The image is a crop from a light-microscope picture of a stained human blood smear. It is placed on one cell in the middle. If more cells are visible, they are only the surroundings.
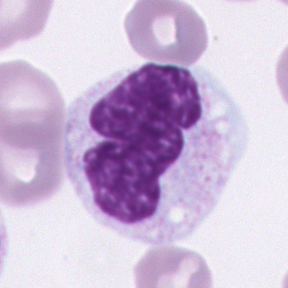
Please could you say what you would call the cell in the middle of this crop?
segmented neutrophil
